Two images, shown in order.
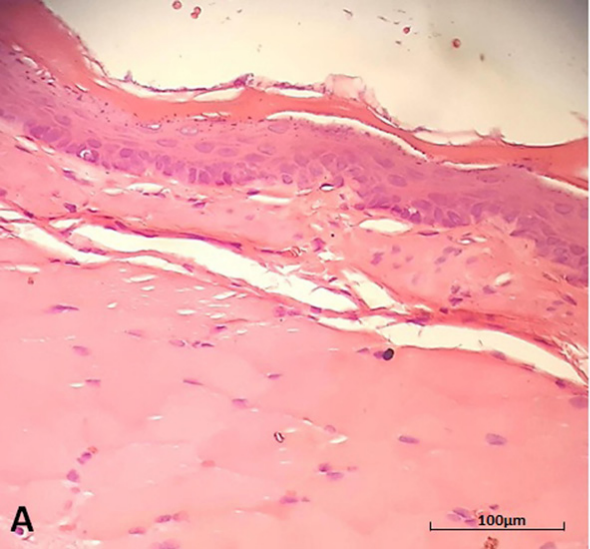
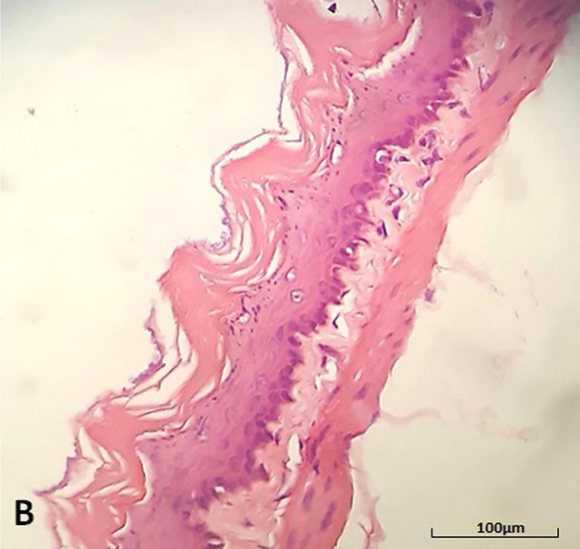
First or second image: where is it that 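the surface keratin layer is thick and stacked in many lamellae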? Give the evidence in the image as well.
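Second image: a thick, multi-layered, wavy pink keratin layer covers the epithelium. First image: a thinner, single pink keratin band lies over the epithelium. On this evidence: the second image.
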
